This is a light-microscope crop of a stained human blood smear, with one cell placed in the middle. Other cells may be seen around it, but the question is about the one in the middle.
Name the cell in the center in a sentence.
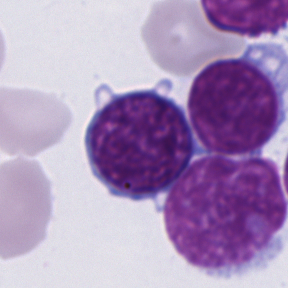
The centrally placed cell is classified as a myeloblast.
